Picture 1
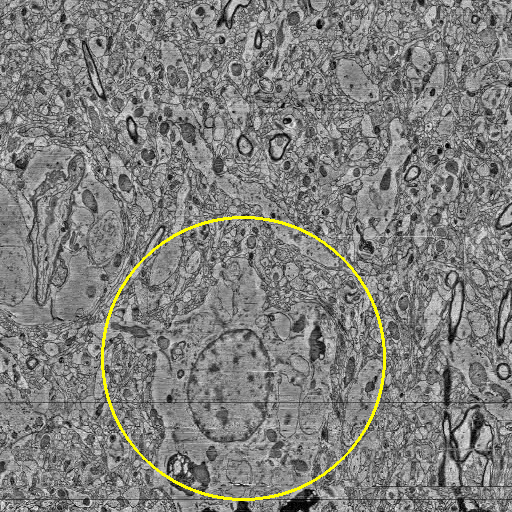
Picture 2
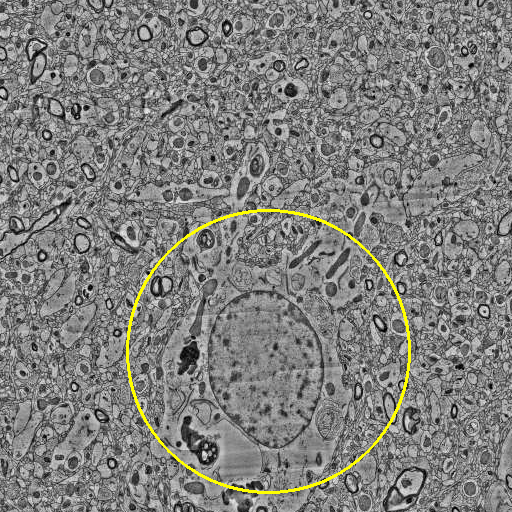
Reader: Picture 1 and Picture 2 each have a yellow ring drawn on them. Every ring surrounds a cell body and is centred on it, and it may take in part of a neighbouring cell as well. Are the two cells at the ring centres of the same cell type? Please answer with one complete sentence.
Yes, both cells are of the same cell type.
